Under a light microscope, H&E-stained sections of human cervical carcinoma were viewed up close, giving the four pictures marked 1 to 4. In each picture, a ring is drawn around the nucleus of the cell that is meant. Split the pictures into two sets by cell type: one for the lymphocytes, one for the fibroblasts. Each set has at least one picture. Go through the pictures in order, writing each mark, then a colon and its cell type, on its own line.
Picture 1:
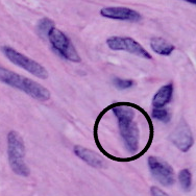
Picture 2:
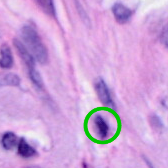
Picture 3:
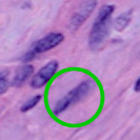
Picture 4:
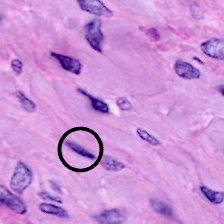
1: fibroblast
2: lymphocyte
3: fibroblast
4: fibroblast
